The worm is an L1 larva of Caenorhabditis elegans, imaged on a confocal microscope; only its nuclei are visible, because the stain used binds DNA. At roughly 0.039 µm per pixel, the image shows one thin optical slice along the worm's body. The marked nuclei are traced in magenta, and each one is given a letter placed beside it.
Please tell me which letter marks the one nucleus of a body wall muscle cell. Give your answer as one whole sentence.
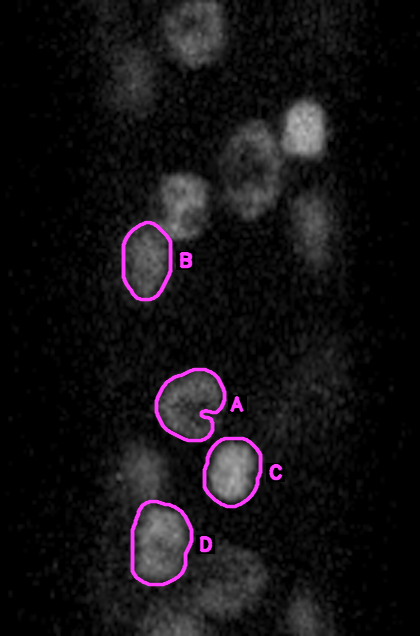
The nucleus of a body wall muscle cell is B.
